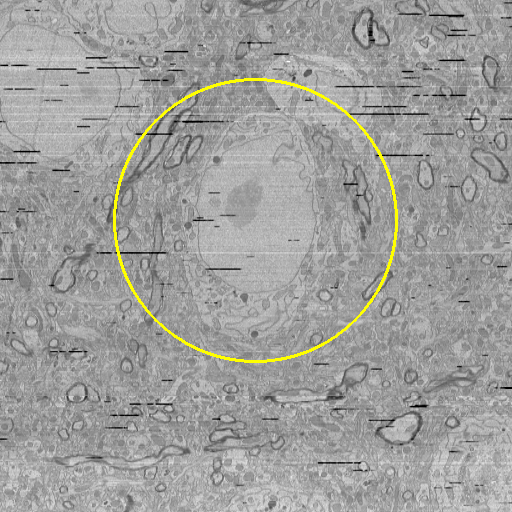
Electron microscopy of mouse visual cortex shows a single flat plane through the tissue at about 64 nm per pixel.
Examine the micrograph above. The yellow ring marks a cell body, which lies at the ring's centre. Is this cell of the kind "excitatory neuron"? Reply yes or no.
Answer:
no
